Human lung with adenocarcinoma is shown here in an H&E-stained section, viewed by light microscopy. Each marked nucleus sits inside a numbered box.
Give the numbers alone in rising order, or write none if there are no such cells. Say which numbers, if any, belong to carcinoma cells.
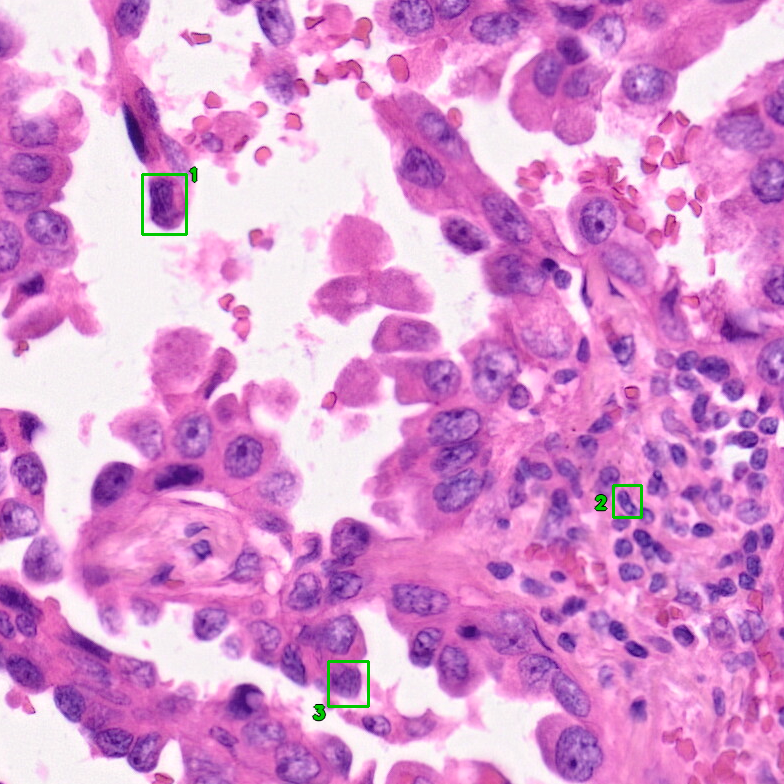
1, 3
